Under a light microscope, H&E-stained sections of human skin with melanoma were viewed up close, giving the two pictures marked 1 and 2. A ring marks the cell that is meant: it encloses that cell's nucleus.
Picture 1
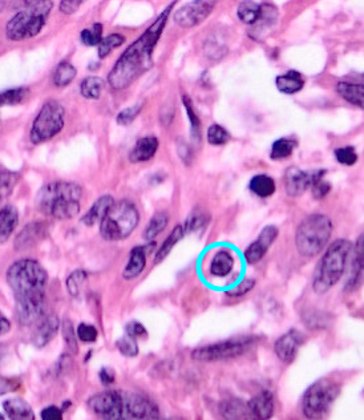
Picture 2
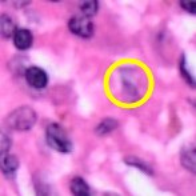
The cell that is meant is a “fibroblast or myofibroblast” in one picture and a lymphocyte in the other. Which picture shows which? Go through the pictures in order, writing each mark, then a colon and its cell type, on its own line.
1: lymphocyte
2: fibroblast or myofibroblast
